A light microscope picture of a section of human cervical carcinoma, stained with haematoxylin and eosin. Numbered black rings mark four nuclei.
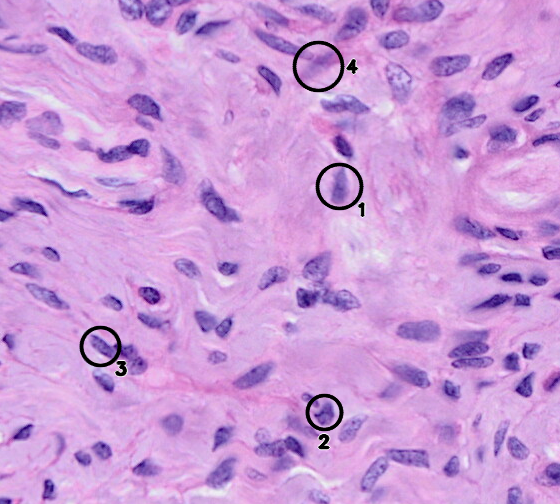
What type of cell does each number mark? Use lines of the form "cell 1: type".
cell 1: fibroblast
cell 2: fibroblast
cell 3: fibroblast
cell 4: smooth muscle cell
